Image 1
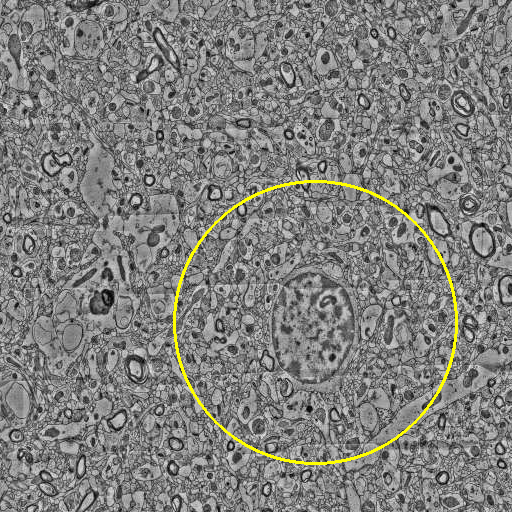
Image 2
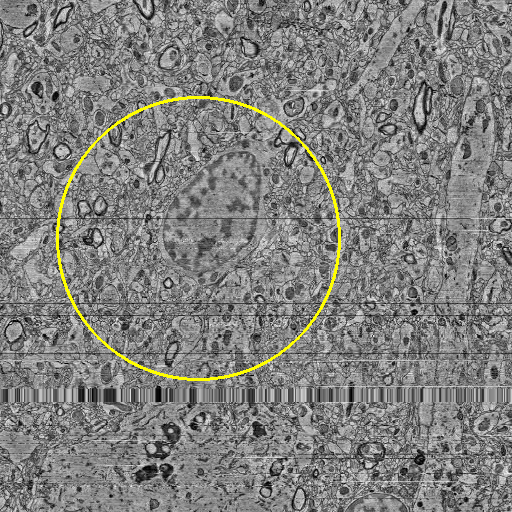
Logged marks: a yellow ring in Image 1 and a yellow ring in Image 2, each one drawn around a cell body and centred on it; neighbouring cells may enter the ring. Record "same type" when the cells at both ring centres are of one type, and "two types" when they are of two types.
same type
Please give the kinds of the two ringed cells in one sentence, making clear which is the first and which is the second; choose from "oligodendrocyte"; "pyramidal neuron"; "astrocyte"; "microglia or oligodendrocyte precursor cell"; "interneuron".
The first and the second cell are each an oligodendrocyte.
